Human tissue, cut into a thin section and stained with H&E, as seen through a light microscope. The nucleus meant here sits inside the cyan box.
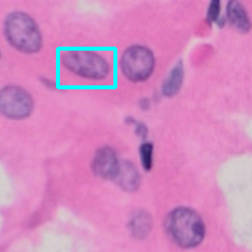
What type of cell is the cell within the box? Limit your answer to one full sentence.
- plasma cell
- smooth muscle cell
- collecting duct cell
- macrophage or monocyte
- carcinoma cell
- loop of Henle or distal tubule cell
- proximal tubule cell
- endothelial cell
As a matter of cell type, the cell within the box is a proximal tubule cell.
